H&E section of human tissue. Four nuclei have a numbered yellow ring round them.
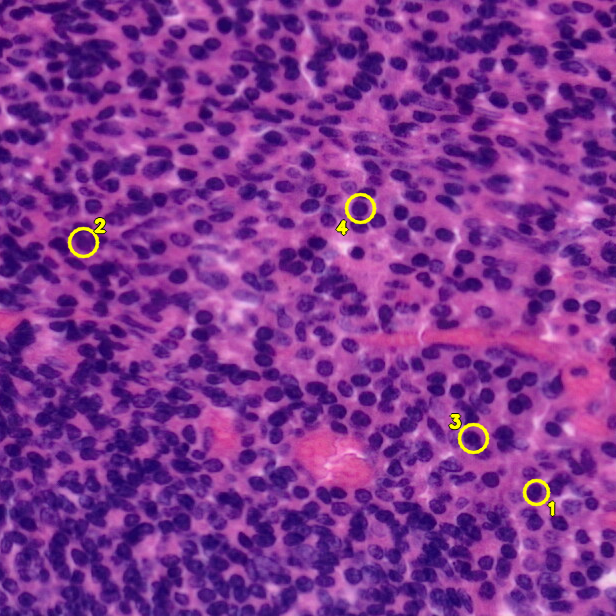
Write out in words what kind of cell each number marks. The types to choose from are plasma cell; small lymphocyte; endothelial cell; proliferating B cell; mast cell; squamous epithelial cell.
Cell 1 is a plasma cell, cell 2 is a squamous epithelial cell, cell 3 is a plasma cell and cell 4 is a plasma cell.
